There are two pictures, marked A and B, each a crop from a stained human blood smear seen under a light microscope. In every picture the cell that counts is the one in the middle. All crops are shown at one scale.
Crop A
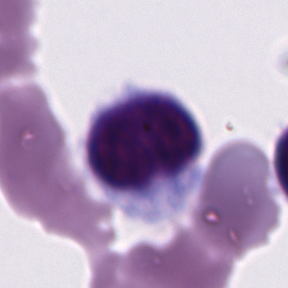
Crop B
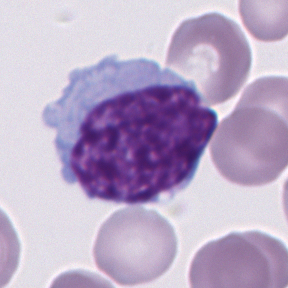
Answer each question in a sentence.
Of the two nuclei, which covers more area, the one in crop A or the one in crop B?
Larger is the nucleus in crop B, at roughly 1.5 times the area of the other.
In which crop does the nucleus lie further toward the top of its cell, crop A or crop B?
It is the nucleus in crop A that lies further toward the top of its cell.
